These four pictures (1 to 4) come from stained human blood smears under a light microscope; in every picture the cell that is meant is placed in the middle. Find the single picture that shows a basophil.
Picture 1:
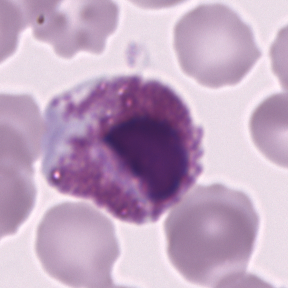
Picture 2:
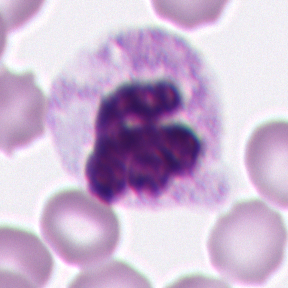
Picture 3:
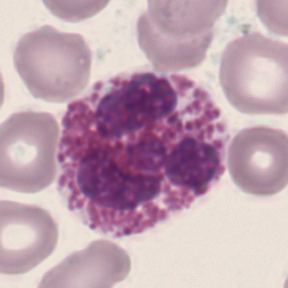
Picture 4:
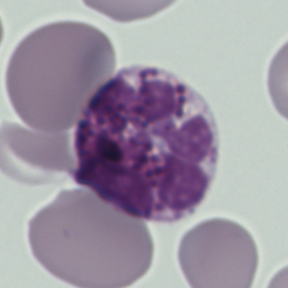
4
